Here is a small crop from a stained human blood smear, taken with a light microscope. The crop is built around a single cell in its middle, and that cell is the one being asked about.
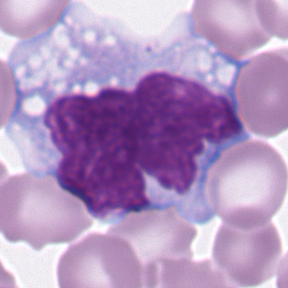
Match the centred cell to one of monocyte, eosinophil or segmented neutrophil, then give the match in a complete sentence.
Seen at the centre of the crop is a monocyte.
